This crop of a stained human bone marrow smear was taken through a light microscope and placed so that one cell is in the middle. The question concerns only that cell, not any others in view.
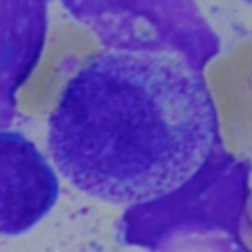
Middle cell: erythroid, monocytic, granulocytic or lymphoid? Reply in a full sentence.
The centered cell is a member of the granulocytic lineage.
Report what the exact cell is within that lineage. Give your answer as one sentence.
This crop's central cell is a myelocyte.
